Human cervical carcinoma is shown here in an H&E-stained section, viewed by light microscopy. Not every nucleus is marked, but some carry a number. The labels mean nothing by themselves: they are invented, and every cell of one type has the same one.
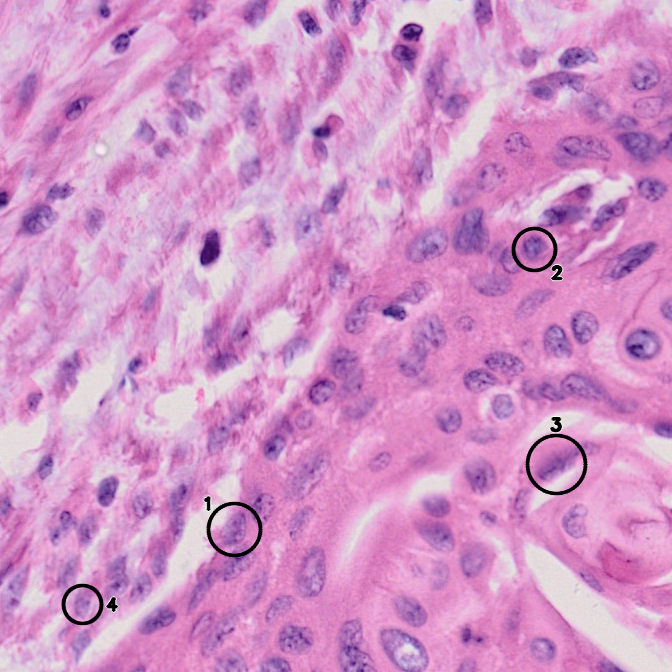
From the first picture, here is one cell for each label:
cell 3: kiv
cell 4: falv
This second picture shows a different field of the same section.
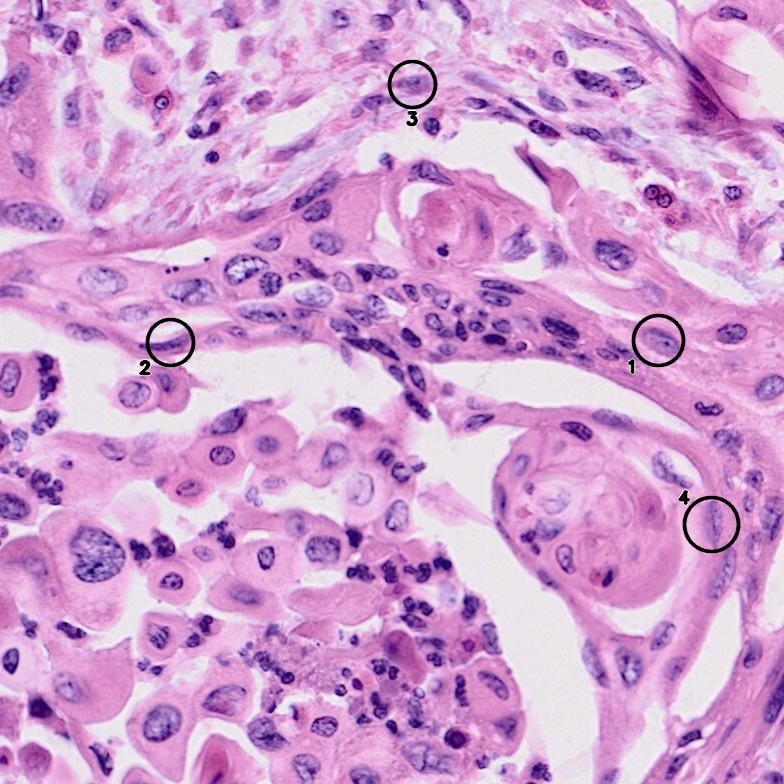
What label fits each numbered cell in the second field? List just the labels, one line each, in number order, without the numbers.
kiv
kiv
falv
kiv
